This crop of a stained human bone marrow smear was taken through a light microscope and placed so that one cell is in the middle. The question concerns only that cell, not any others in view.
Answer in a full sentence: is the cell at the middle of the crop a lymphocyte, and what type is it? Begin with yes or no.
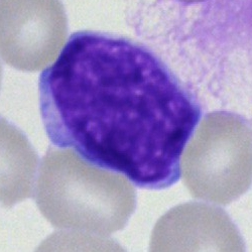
No, not a lymphocyte: the cell in the middle of this crop is a blast.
